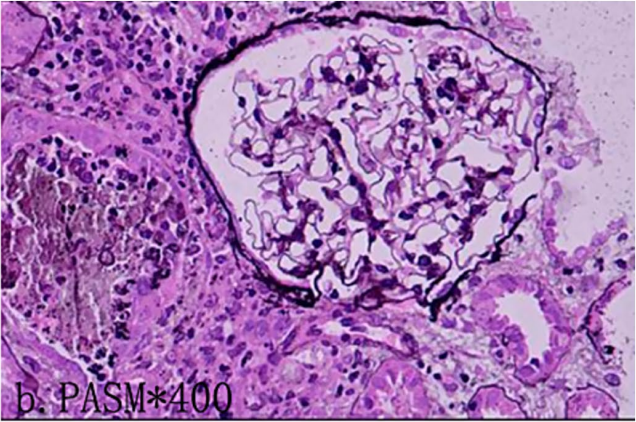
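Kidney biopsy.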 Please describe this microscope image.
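A glomerulus with open, thin capillary loops lies within a Bowman's capsule whose basement membrane is outlined in black, with a wide clear urinary space and no solid scarred segments in the tuft. To its left a tubule is filled with brownish granular material containing scattered nuclei, and surrounding tubules and interstitial cells fill the rest of the field.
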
